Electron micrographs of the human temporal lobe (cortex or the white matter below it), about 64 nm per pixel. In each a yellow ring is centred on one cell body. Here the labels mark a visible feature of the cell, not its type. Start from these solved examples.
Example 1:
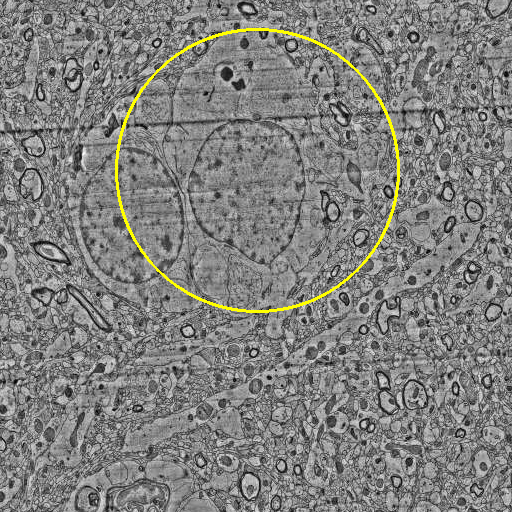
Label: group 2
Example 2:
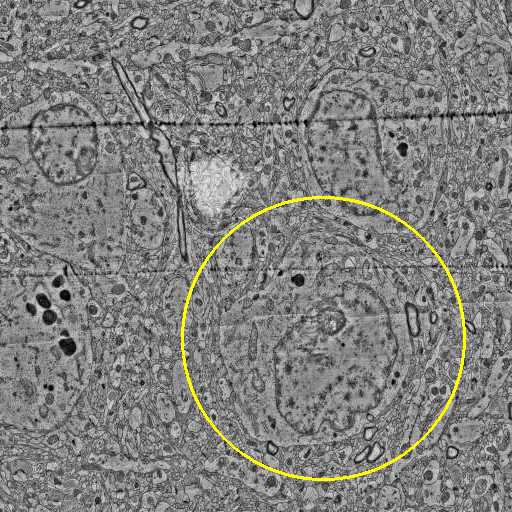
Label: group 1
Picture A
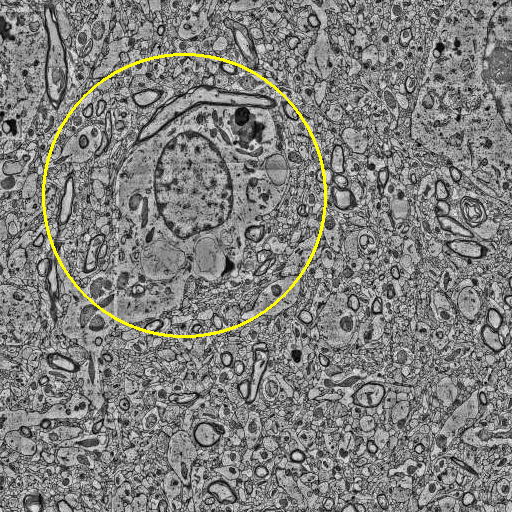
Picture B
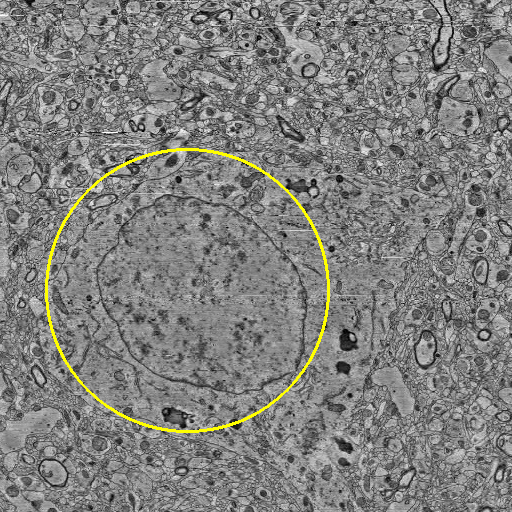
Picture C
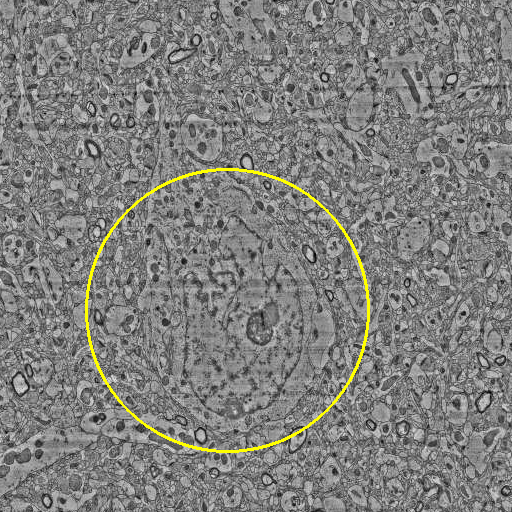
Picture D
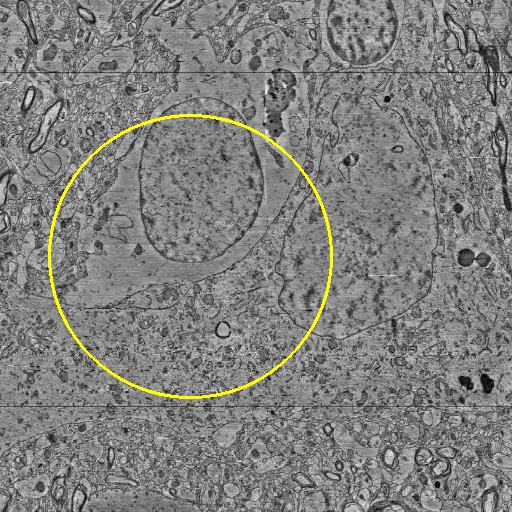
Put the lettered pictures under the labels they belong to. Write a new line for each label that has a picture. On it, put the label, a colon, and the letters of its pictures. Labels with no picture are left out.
group 2: A, B, D
group 1: C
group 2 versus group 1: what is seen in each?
group 2, no nucleolus seen; group 1, nucleolus seen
